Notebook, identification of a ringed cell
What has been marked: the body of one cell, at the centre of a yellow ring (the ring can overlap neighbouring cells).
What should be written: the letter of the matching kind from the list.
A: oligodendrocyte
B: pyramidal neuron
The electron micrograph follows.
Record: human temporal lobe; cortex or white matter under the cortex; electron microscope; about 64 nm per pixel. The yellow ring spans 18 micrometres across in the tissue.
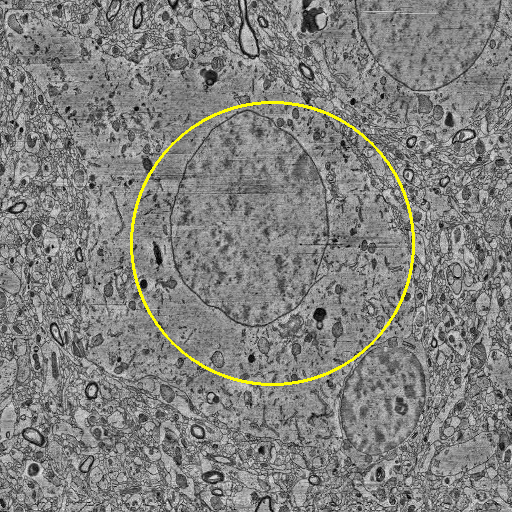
B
